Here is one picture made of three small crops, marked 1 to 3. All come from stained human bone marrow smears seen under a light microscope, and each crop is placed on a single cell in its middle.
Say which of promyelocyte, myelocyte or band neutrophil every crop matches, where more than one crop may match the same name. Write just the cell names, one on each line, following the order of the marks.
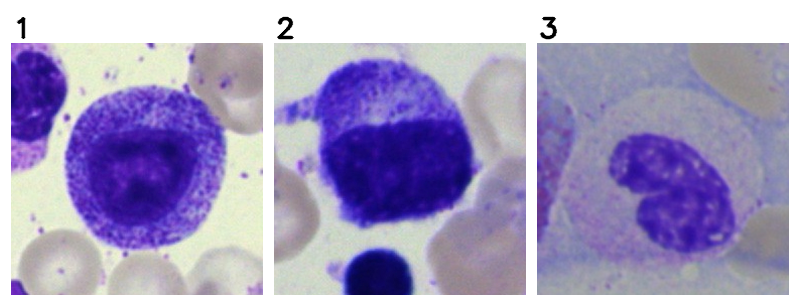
myelocyte
promyelocyte
band neutrophil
